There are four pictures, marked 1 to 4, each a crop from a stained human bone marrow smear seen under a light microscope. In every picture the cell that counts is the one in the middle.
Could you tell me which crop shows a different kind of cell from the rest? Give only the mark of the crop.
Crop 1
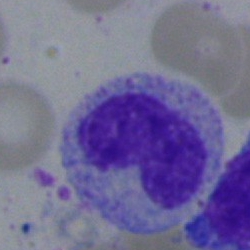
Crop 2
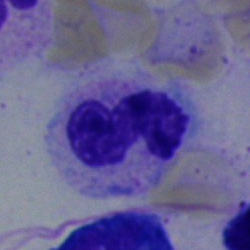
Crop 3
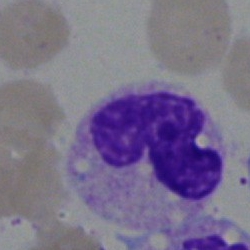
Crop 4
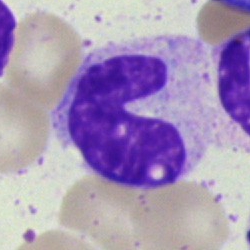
1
